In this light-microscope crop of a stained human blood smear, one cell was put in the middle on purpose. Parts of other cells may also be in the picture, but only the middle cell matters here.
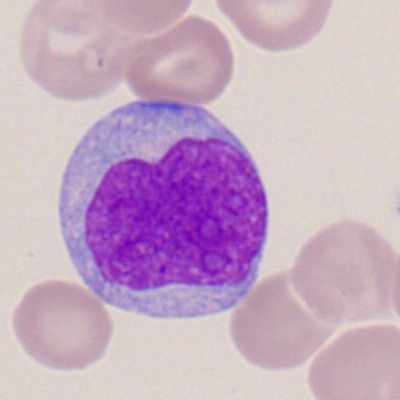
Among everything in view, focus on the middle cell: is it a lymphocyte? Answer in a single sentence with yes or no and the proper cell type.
No, the one in the center is not a lymphocyte; it is a blast.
